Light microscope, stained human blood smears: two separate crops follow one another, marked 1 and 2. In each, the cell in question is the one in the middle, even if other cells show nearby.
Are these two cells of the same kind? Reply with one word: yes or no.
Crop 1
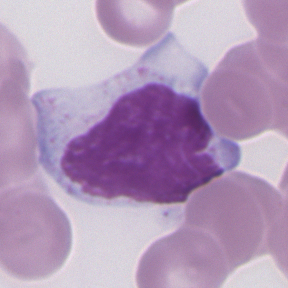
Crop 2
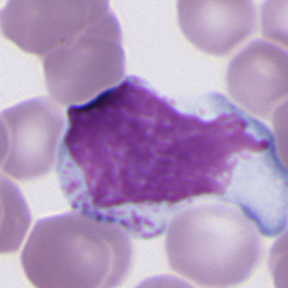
yes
